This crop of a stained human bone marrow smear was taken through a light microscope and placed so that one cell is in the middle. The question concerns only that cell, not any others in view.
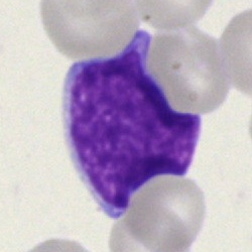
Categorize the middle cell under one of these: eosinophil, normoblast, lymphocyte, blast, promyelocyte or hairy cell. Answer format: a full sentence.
Whatever else lies nearby, the middle cell is a blast.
